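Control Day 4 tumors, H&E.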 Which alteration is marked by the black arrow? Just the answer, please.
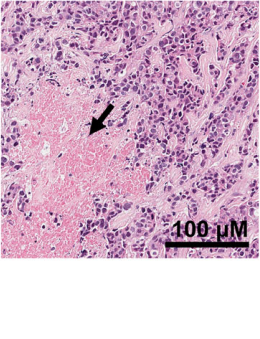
Necrotic sections.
